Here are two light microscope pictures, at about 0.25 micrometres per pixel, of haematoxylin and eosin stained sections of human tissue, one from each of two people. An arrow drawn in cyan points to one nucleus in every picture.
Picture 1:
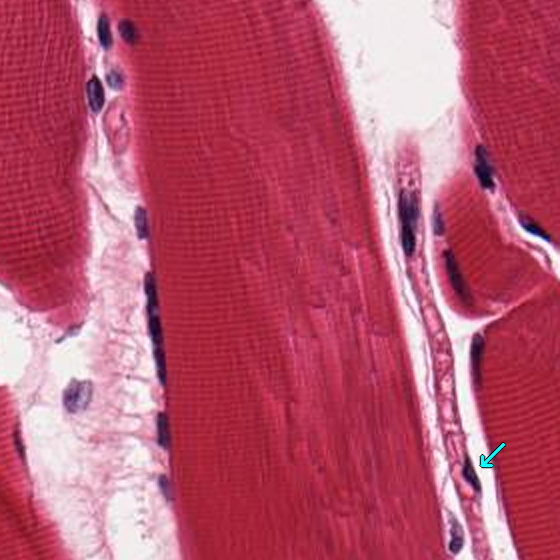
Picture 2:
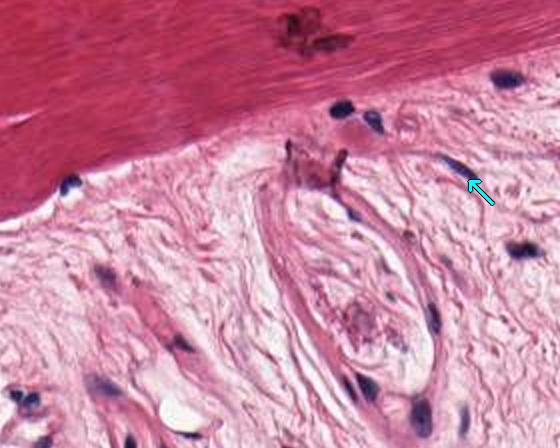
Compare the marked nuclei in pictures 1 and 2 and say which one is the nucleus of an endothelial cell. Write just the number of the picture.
1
